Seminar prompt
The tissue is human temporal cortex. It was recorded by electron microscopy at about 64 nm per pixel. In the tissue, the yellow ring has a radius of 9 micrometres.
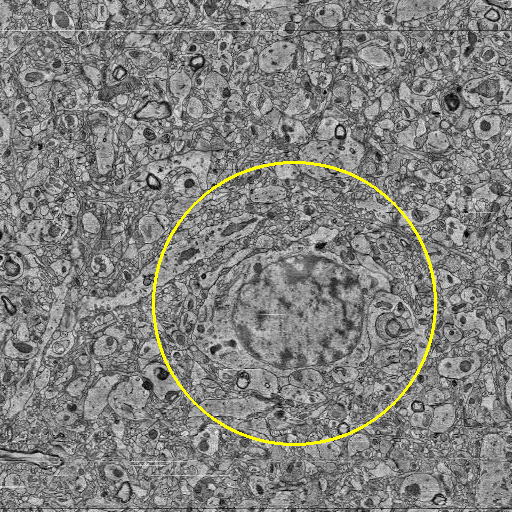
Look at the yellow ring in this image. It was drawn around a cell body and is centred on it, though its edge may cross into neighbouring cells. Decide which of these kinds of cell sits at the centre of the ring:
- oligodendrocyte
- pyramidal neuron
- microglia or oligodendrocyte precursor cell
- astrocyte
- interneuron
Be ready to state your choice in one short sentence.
The kind of cell at the ring's centre is an interneuron.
